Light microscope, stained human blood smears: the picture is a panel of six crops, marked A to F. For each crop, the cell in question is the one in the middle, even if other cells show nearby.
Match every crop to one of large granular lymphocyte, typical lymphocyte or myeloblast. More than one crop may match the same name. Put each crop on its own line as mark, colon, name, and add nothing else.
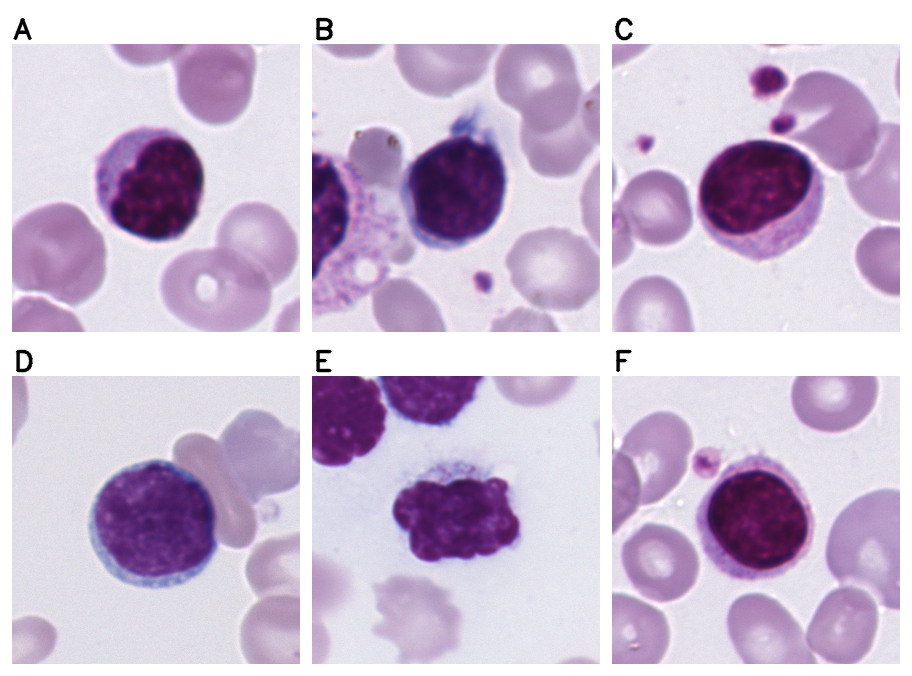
A: typical lymphocyte
B: typical lymphocyte
C: large granular lymphocyte
D: typical lymphocyte
E: typical lymphocyte
F: large granular lymphocyte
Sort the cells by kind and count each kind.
typical lymphocyte: 4
large granular lymphocyte: 2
